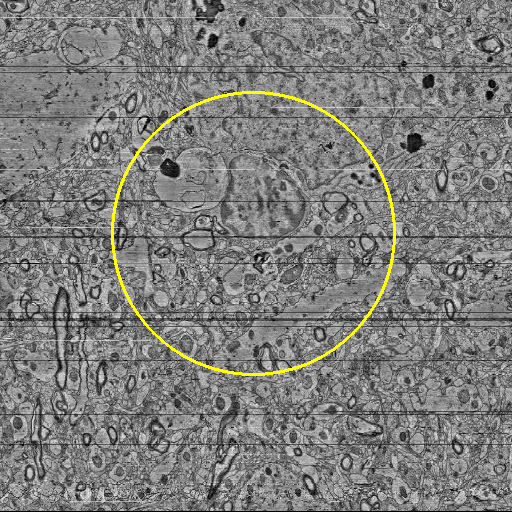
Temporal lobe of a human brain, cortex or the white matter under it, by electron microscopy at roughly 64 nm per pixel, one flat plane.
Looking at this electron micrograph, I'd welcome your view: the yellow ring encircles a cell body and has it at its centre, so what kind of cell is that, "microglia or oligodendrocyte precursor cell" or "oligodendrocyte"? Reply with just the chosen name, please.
oligodendrocyte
